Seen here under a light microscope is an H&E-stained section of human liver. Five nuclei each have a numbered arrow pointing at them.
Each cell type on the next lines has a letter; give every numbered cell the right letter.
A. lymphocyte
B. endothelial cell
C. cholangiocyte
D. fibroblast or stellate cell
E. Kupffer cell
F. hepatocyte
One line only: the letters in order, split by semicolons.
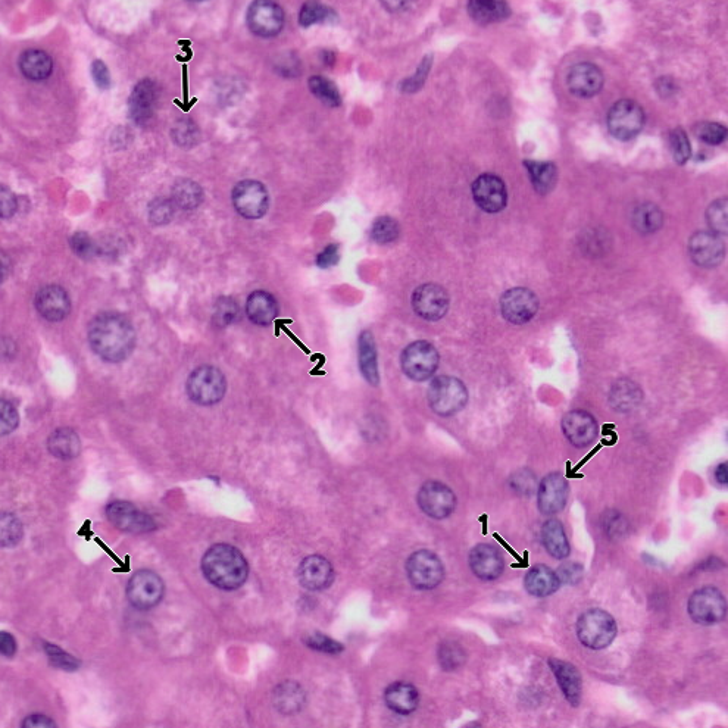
C; F; F; F; C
